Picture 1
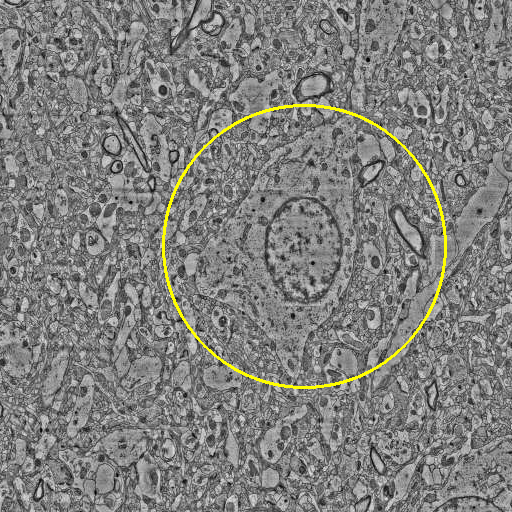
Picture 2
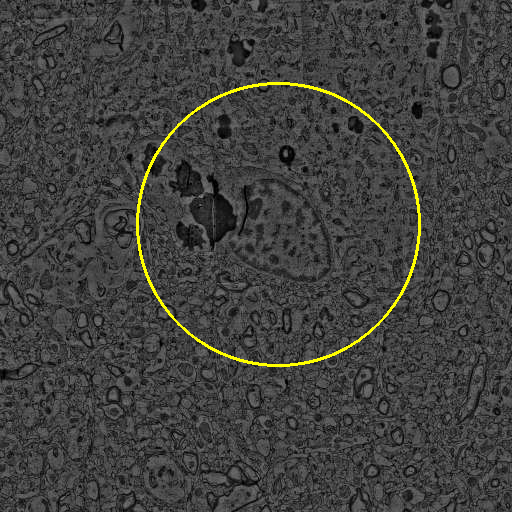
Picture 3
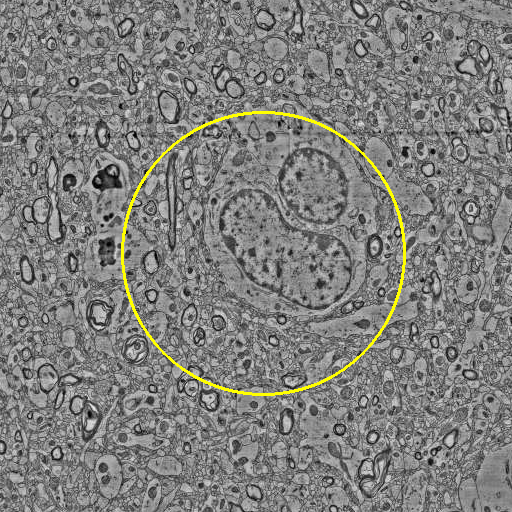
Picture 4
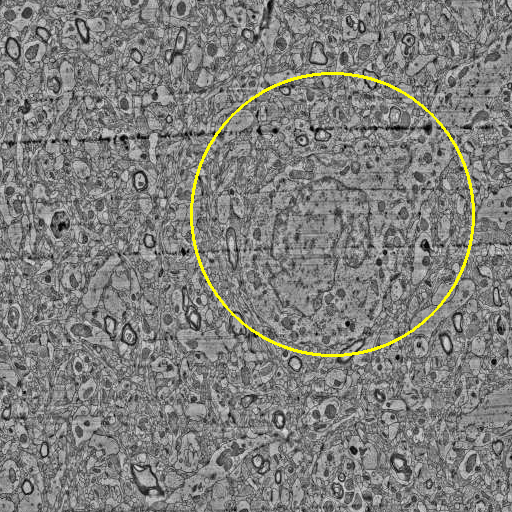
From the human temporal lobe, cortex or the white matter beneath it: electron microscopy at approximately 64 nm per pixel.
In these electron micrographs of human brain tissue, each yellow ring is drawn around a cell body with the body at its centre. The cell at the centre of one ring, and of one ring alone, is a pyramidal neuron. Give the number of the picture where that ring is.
1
